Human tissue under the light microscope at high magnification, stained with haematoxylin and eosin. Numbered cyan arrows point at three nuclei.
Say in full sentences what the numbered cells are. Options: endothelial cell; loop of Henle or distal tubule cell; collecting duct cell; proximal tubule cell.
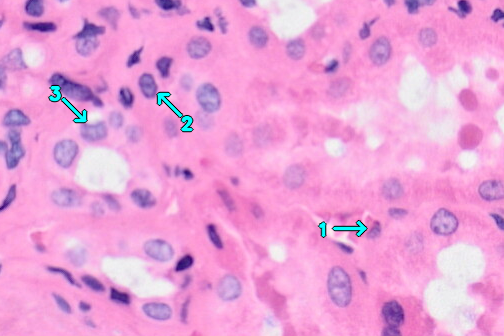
Cell 1 is an endothelial cell. Cells 2 and 3 are collecting duct cells.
